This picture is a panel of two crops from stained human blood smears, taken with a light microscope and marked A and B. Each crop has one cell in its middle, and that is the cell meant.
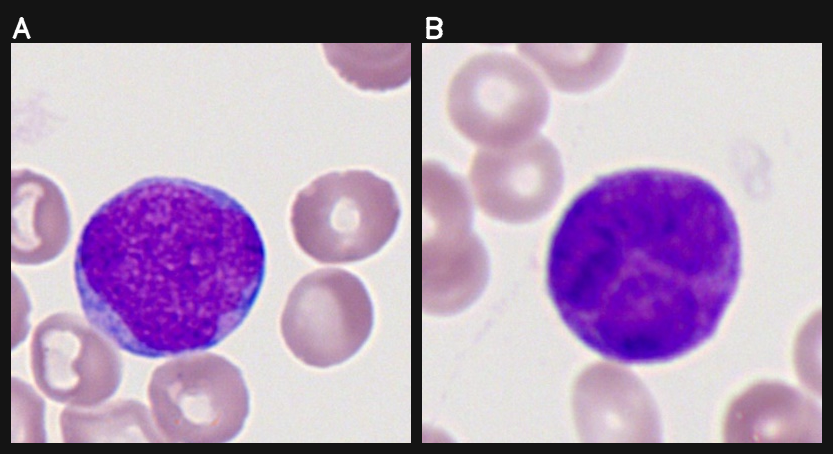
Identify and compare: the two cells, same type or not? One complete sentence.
Yes, the two crops show blasts at their centres.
